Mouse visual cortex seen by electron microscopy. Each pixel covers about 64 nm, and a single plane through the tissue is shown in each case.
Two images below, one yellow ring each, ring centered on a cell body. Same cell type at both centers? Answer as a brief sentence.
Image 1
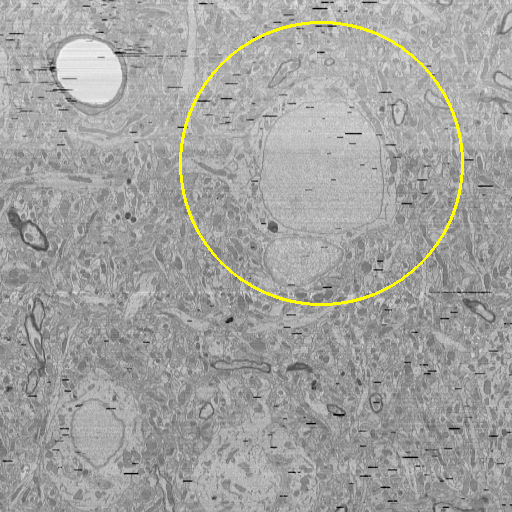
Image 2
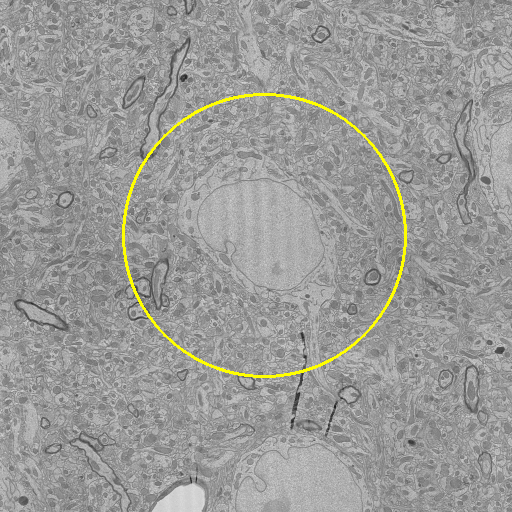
Yes, both cells are of the same type.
